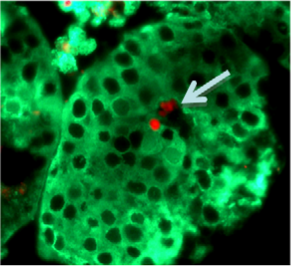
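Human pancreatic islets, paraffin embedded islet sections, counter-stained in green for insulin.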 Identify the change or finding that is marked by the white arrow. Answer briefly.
Red nuclei.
